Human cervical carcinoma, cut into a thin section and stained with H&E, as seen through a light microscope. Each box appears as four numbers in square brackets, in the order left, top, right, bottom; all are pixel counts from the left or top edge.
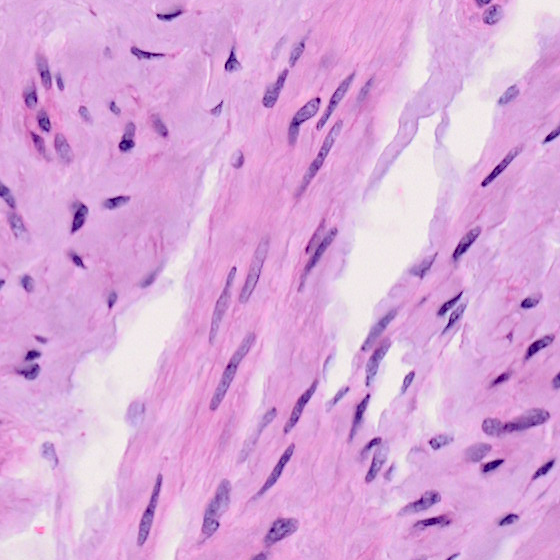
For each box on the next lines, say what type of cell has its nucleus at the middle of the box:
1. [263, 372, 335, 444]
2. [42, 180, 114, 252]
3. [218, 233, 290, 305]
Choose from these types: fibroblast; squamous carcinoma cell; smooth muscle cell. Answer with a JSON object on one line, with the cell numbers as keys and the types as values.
{"1": "fibroblast", "2": "fibroblast", "3": "smooth muscle cell"}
